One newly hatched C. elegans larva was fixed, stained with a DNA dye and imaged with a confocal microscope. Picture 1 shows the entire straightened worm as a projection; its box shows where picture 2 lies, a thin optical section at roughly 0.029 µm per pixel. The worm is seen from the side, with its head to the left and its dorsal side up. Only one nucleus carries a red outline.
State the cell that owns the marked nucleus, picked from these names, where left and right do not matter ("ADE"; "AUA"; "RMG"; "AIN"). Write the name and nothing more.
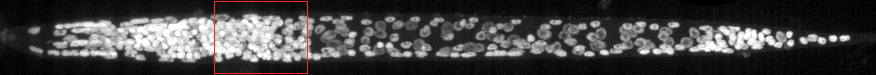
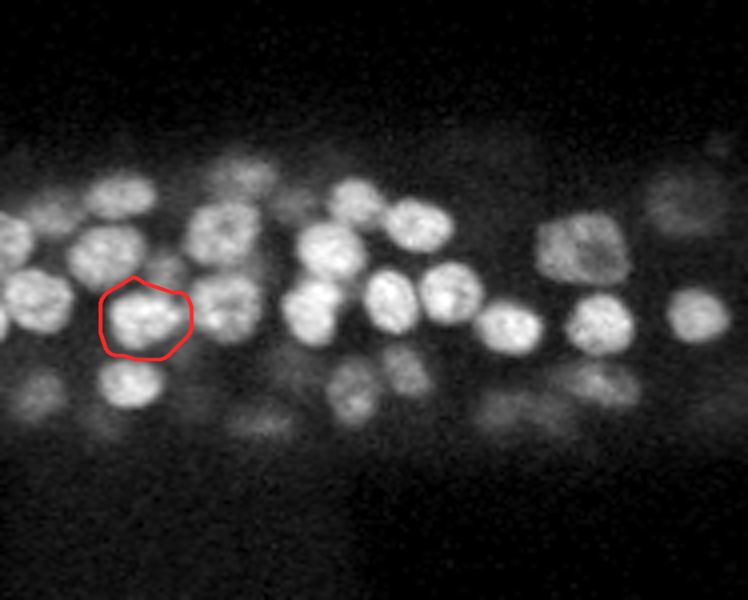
AUA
